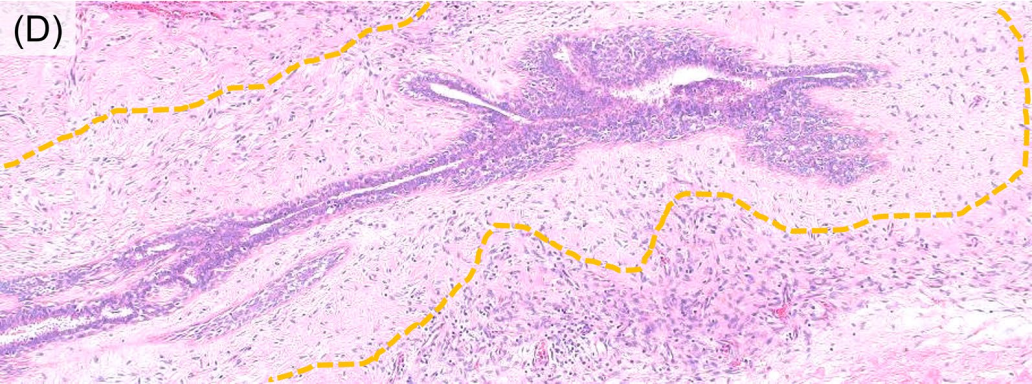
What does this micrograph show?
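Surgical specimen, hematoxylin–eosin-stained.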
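A branching duct lined by several layers of purple-staining epithelial cells runs across a pink stroma. Its lumina are narrow slits within the epithelium. The stroma immediately around the duct is loose and pale, with only few scattered nuclei, whereas the stroma below is more cellular.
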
